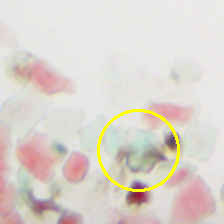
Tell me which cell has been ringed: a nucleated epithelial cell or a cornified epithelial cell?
It is a cornified epithelial cell.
